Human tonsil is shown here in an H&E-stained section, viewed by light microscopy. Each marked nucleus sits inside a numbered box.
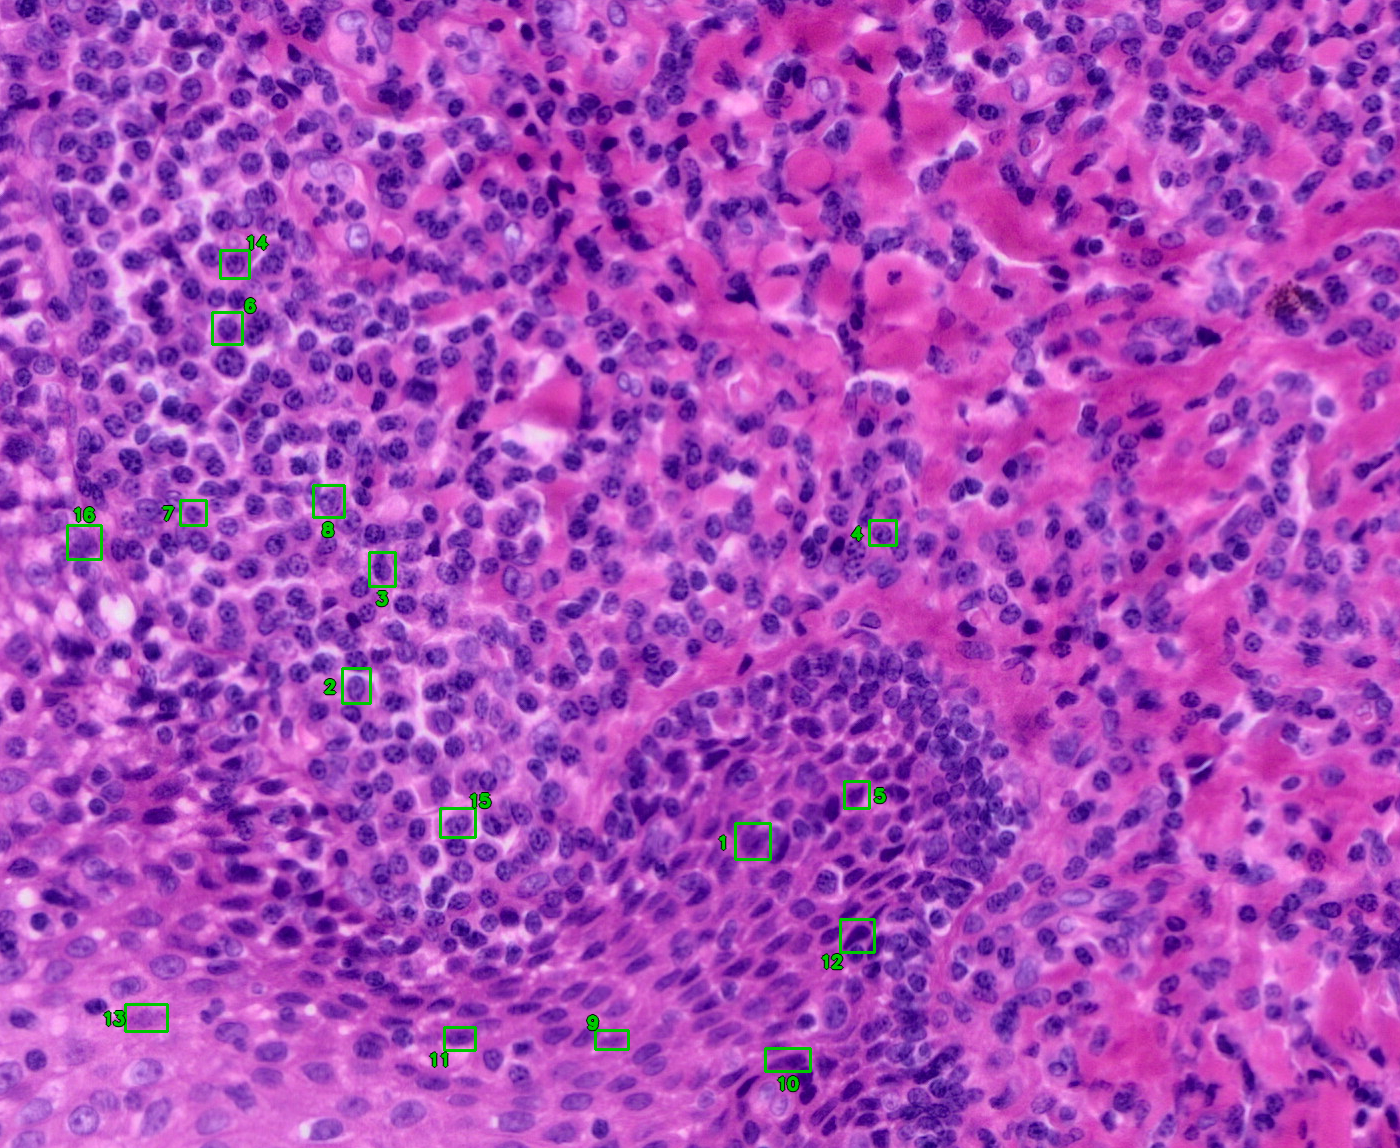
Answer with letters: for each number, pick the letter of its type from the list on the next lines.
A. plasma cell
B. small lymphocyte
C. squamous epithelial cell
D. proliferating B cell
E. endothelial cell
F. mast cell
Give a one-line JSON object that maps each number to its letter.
{"1": "C", "2": "A", "3": "A", "4": "A", "5": "C", "6": "A", "7": "A", "8": "A", "9": "C", "10": "C", "11": "C", "12": "C", "13": "C", "14": "A", "15": "A", "16": "C"}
